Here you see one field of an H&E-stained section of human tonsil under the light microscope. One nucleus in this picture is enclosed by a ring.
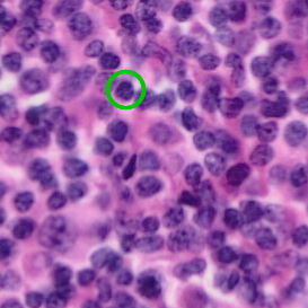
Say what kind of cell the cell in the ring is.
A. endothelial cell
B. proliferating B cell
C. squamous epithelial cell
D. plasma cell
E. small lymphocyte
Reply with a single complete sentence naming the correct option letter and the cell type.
In the section, the cell in the ring is a small lymphocyte, and option E is correct accordingly.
